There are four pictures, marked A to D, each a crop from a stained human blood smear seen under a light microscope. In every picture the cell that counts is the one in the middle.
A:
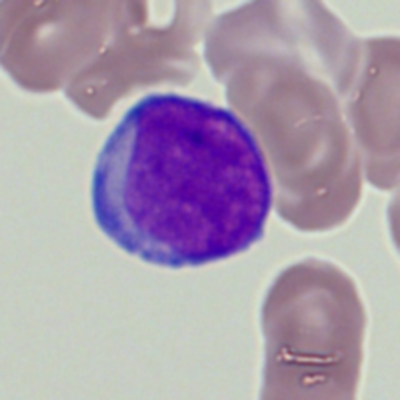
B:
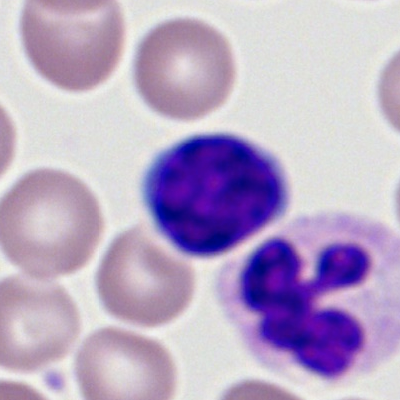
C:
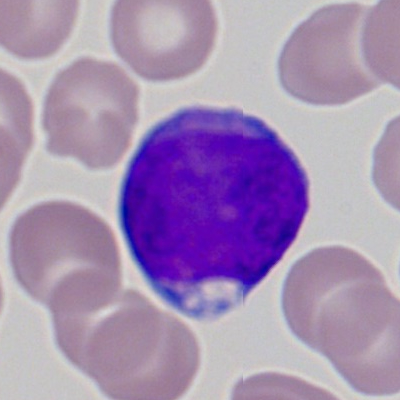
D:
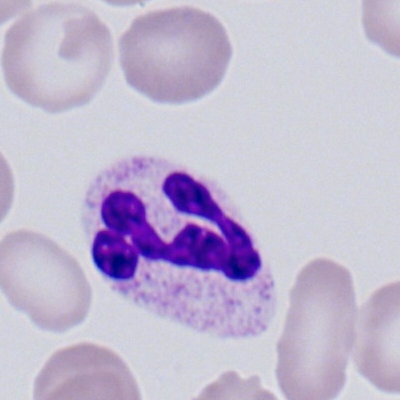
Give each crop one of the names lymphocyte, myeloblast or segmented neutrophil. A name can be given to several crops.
A: myeloblast
B: lymphocyte
C: myeloblast
D: segmented neutrophil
